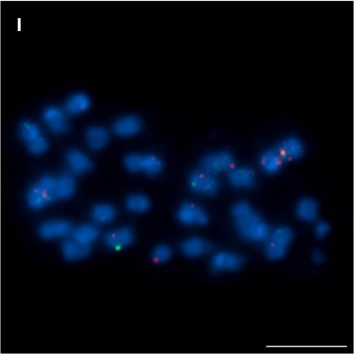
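The chromosomes are small and rounded to short rod-shaped, with some showing two chromatid halves. Small red dots are found on several chromosomes across the spread. Faint green dots are present on a few chromosomes, and one distinct green spot stands out on a chromosome in the lower part of the spread. No surrounding nucleus or cytoplasm is seen.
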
